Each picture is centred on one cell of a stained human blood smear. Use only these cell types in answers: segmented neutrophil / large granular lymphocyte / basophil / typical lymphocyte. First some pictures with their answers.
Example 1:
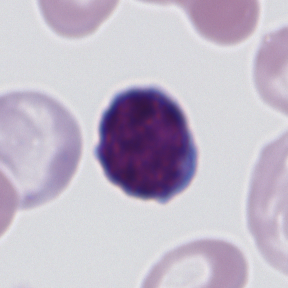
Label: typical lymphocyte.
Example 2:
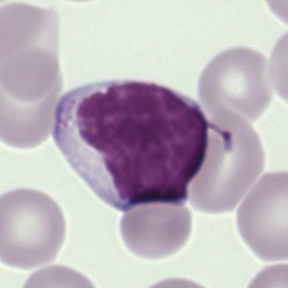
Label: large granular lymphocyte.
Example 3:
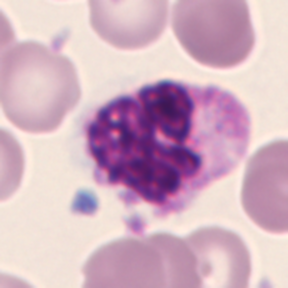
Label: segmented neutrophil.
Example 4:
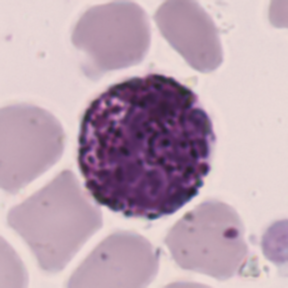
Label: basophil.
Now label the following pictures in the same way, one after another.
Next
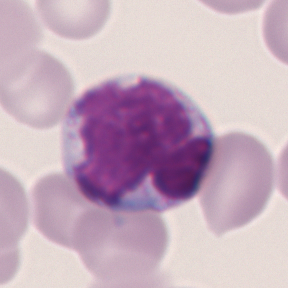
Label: large granular lymphocyte.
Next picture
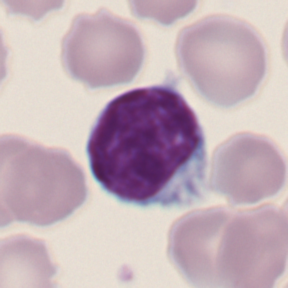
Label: typical lymphocyte.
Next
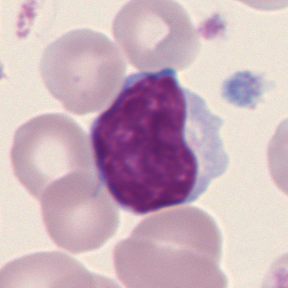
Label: typical lymphocyte.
